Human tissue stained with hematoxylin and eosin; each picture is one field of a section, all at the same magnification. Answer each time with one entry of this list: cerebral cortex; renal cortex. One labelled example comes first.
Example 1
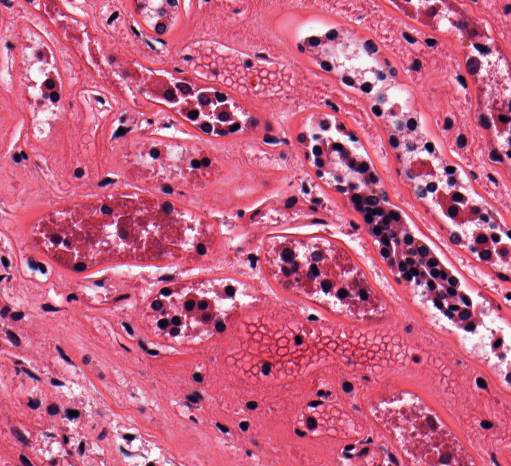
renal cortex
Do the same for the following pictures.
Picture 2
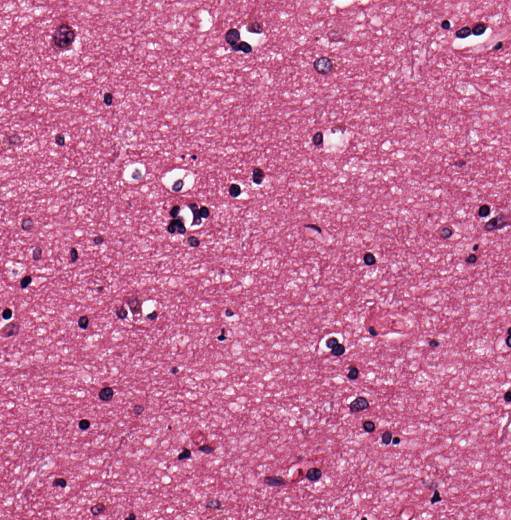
cerebral cortex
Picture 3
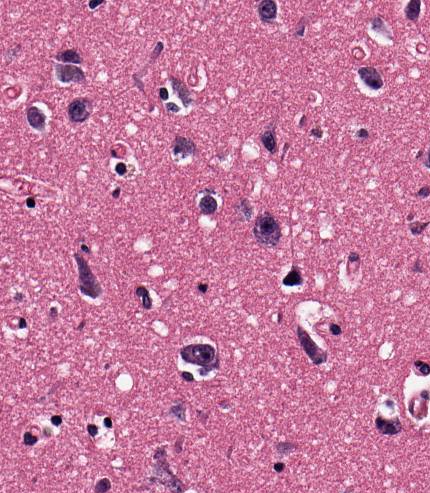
cerebral cortex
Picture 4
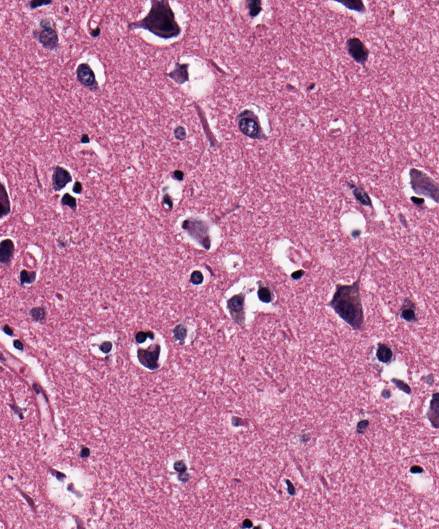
cerebral cortex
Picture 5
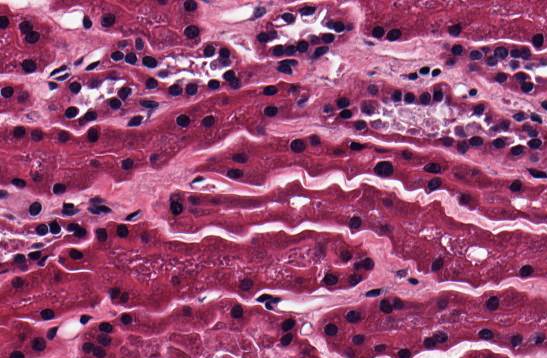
renal cortex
